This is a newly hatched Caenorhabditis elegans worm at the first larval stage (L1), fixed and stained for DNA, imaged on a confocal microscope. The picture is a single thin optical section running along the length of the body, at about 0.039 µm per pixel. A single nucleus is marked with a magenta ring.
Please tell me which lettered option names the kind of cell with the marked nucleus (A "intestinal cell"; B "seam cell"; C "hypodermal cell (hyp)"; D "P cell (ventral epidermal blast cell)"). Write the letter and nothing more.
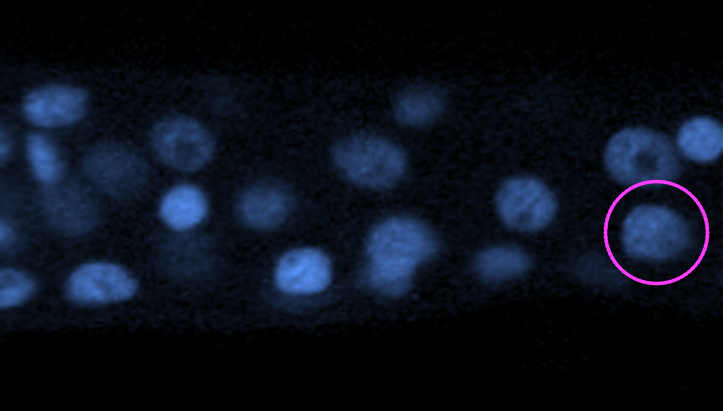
D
